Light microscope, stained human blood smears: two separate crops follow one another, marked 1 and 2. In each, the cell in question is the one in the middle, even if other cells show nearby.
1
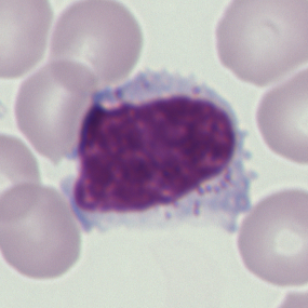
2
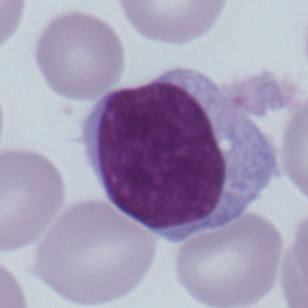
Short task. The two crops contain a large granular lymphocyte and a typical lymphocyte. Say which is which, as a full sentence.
Taken crop by crop, crop 1 is a large granular lymphocyte and crop 2 is a typical lymphocyte.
